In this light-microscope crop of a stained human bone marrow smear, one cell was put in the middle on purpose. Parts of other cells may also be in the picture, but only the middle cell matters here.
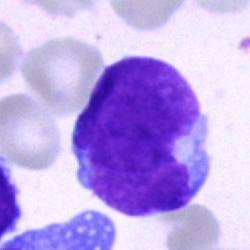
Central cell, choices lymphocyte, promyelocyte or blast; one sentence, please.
The cell around which this crop is centred is a blast.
